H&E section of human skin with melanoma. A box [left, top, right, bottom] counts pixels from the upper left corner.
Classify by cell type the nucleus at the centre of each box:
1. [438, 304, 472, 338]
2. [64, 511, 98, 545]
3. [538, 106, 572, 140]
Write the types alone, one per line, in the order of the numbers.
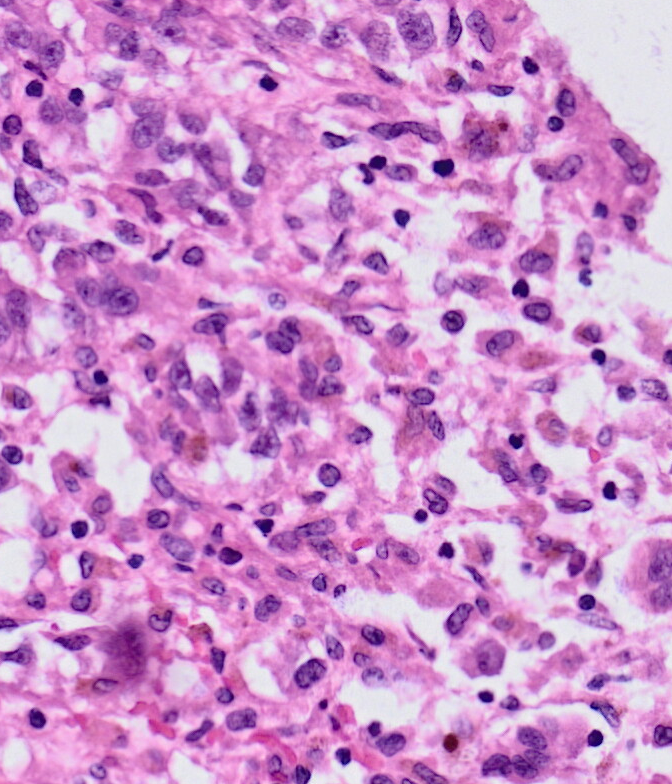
macrophage or monocyte
lymphocyte
lymphocyte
